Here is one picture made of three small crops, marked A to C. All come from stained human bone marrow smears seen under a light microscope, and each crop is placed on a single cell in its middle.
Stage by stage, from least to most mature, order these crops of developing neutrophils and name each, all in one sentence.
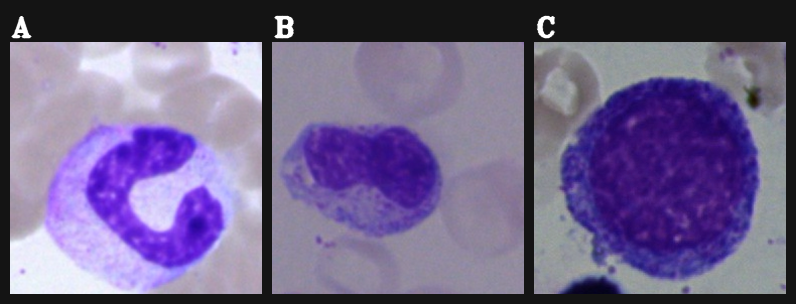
The maturation order, from least to most mature, is crop C (a promyelocyte), crop B (a metamyelocyte) and crop A (a band neutrophil).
